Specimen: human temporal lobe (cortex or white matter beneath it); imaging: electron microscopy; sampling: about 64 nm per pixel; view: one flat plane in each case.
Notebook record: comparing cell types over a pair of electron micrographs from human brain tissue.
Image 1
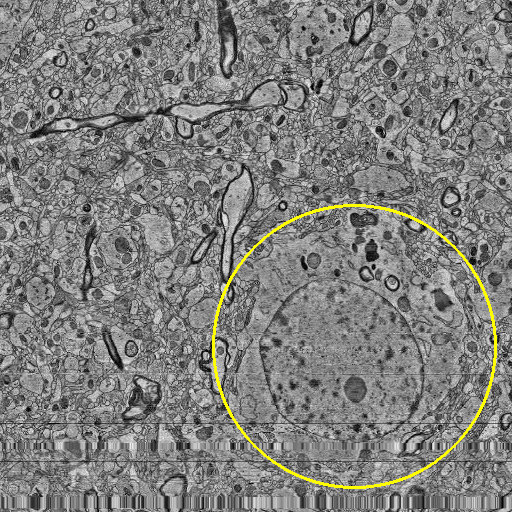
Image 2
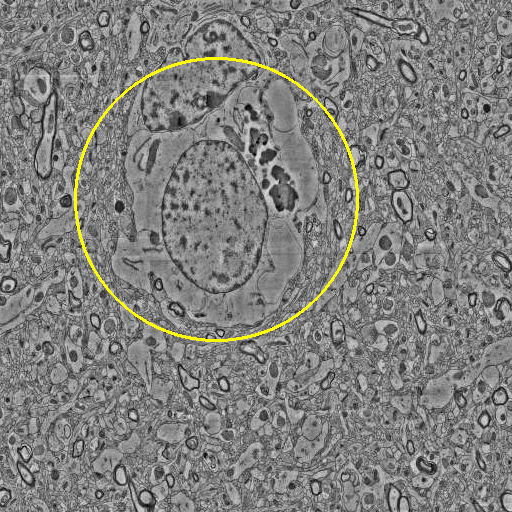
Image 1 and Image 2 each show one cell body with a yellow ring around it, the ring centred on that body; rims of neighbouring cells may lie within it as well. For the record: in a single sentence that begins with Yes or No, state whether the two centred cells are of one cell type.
Yes, one cell type is shared by the centred cells of Image 1 and Image 2.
